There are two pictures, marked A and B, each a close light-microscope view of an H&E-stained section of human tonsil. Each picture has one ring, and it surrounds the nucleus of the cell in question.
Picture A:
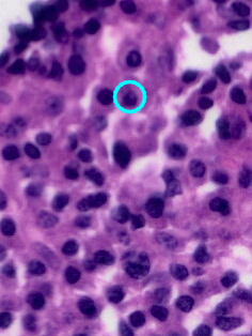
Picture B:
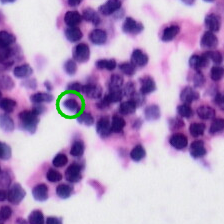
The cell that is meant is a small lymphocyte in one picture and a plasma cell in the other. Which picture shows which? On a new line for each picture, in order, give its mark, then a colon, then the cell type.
A: plasma cell
B: small lymphocyte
